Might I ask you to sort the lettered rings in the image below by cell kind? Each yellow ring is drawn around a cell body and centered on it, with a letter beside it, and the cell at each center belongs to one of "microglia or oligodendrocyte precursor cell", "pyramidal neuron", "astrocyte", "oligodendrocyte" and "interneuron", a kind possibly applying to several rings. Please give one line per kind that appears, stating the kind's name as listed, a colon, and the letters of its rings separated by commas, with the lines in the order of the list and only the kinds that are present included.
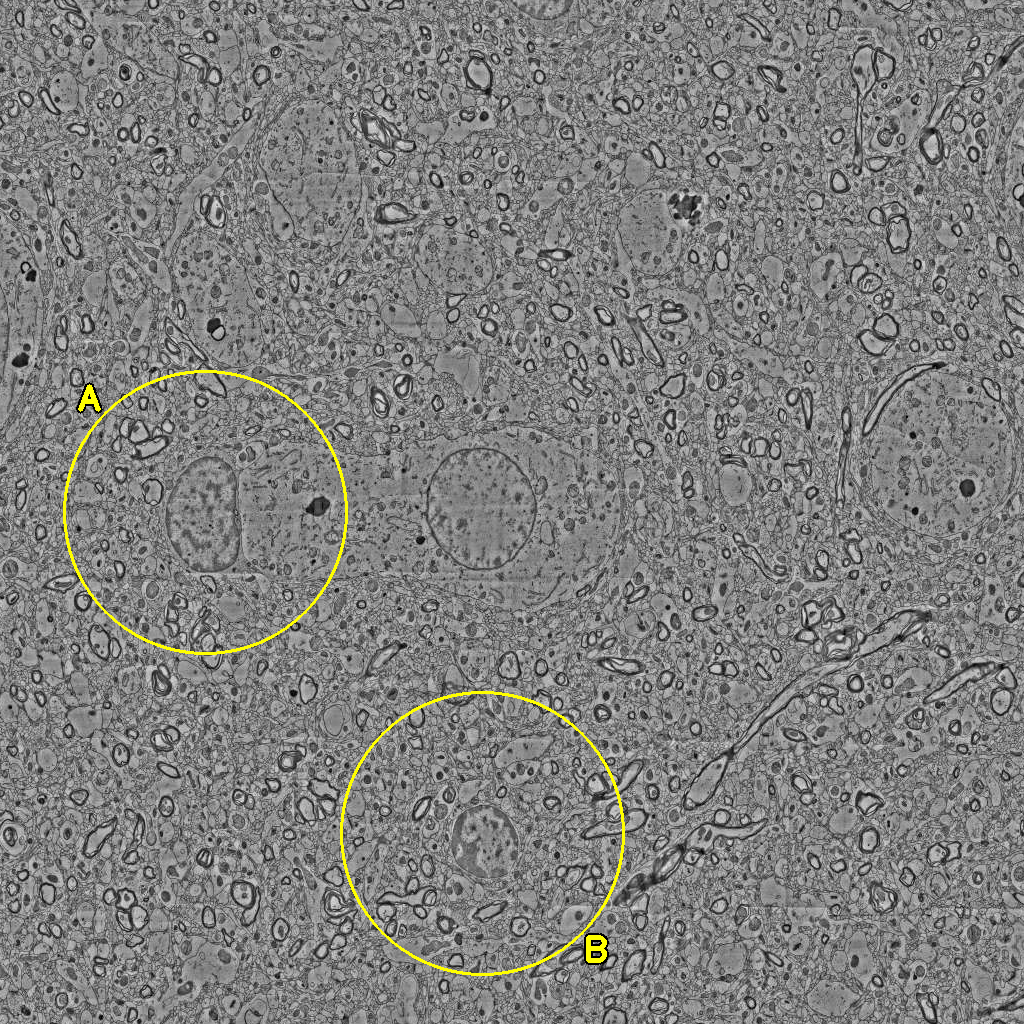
microglia or oligodendrocyte precursor cell: B
oligodendrocyte: A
